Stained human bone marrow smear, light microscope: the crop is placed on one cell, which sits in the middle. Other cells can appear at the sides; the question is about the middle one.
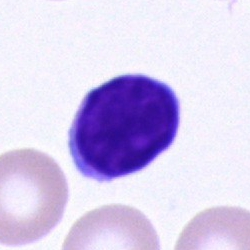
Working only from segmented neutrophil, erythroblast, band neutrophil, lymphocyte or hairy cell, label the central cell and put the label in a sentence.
The cell of interest, in the center, is a lymphocyte.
